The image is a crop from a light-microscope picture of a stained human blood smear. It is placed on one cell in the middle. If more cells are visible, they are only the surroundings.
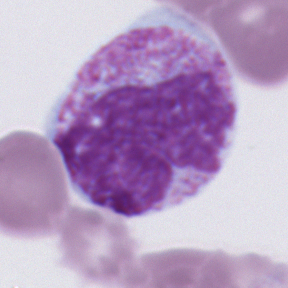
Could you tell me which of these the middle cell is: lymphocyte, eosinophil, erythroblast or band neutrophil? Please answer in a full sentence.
The crop shows a band neutrophil in its centre.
